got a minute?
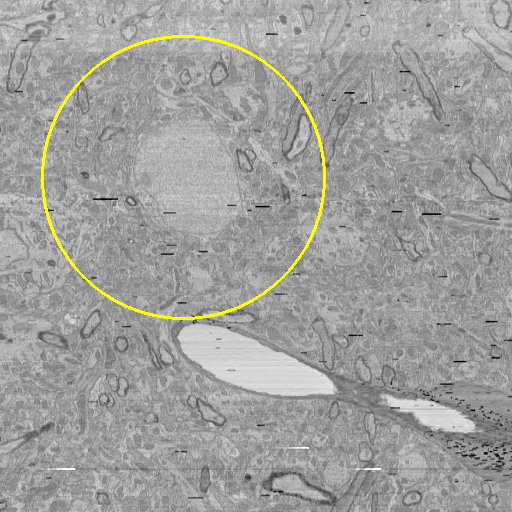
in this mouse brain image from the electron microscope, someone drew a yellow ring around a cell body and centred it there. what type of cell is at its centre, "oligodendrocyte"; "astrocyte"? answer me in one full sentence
It's an astrocyte at the middle of that yellow ring in the shot.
